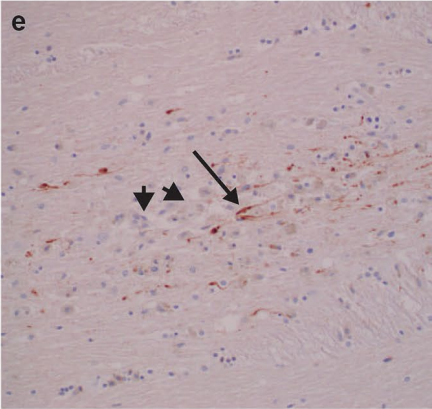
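In the centre, many rounded unstained macrophages with pale, abundant cytoplasm are gathered together, larger than the small dark glial nuclei around them. Among them run brown-stained, thickened linear swollen axons, some ending in small bulbs. Outside the focus the fibres run in an orderly direction with few brown profiles.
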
